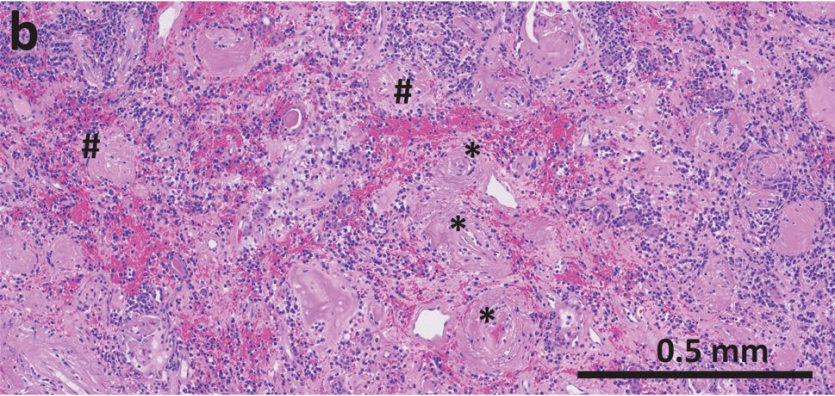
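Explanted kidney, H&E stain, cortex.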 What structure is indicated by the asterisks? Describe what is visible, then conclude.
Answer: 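The asterisks lie in round structures with concentric pink layered walls. Their lumens are closed or nearly absent.
Hence: completely obliterated interlobular arteries.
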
